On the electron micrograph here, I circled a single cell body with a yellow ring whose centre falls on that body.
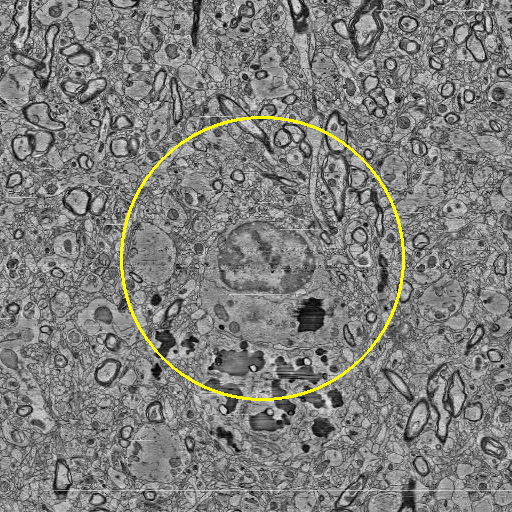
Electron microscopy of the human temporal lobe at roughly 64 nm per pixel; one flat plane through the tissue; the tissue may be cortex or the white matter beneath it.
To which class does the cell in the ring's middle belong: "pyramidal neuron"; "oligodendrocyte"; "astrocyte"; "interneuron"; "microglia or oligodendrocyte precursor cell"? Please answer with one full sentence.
In this picture, the cell body circled at the ring's centre belongs to an oligodendrocyte.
